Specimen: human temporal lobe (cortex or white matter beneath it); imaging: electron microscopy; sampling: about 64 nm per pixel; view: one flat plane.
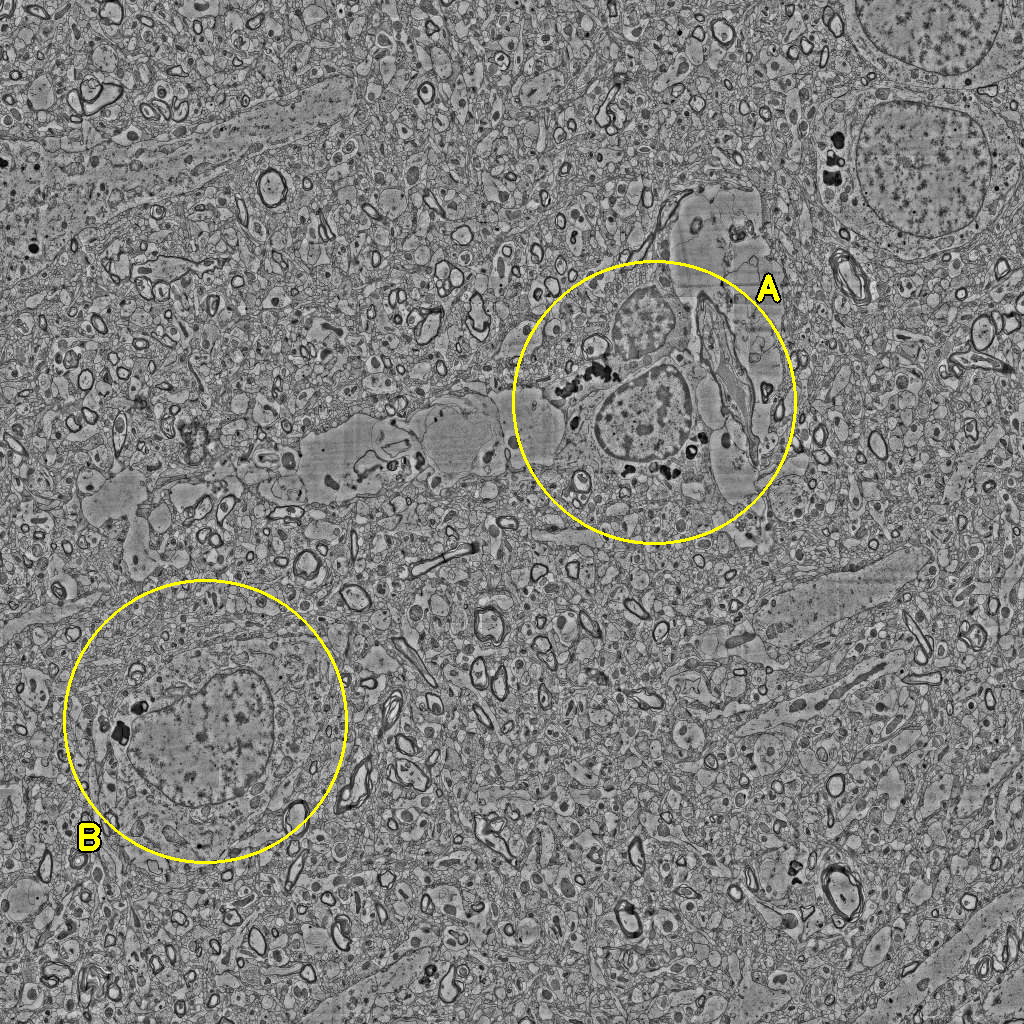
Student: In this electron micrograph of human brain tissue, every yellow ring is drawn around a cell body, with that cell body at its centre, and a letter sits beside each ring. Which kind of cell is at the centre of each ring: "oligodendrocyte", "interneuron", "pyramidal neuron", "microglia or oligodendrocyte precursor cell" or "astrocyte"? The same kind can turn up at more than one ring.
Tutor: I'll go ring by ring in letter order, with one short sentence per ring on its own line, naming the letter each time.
Ring A: the cell at its centre is a microglial cell or oligodendrocyte precursor cell.
Ring B: the cell at its centre is a pyramidal neuron.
